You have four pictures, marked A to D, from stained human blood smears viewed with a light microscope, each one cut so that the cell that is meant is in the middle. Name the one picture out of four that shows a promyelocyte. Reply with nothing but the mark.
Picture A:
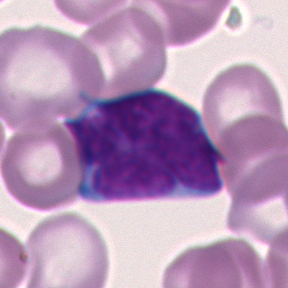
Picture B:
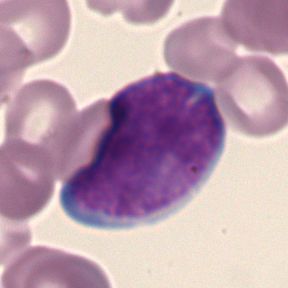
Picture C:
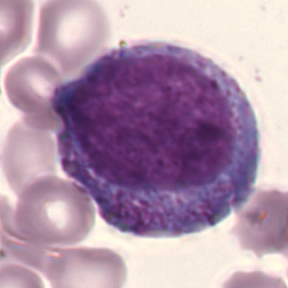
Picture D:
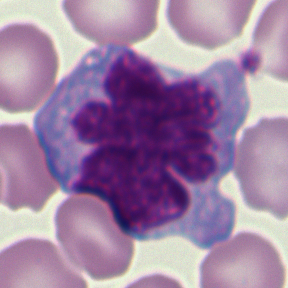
C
